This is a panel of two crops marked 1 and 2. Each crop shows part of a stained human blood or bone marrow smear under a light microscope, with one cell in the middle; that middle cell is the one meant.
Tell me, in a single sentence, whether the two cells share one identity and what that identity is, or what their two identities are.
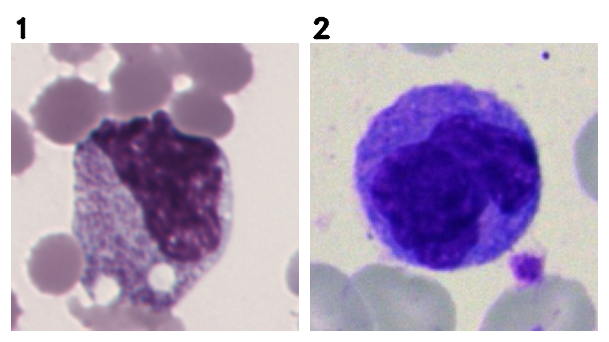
No, in crop 1 there is a myelocyte, and in crop 2 there is a monocyte.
